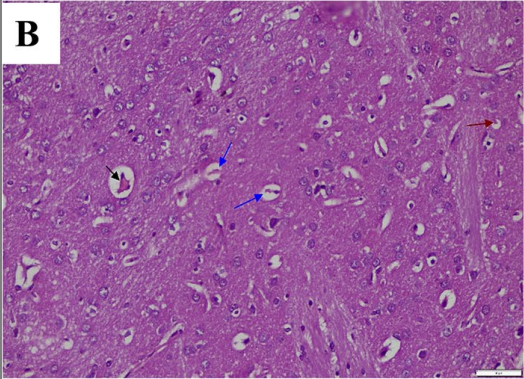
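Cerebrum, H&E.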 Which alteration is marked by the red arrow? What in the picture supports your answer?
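The marked nucleus is small, dense and dark-staining. It lies within a clear space. The answer: a pyknotic nucleus.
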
